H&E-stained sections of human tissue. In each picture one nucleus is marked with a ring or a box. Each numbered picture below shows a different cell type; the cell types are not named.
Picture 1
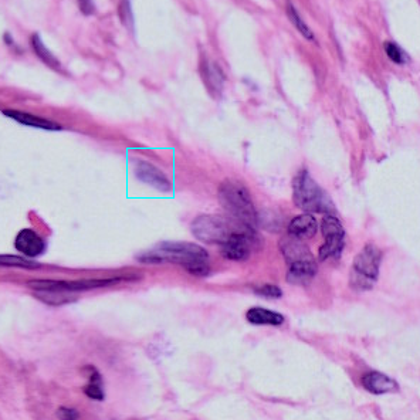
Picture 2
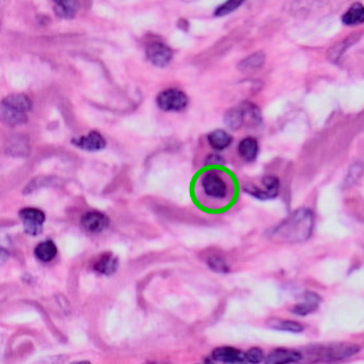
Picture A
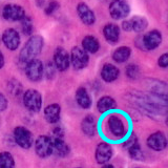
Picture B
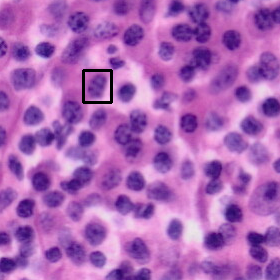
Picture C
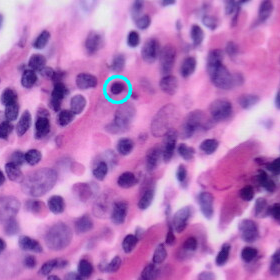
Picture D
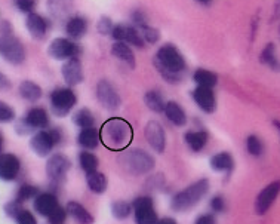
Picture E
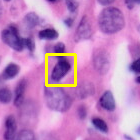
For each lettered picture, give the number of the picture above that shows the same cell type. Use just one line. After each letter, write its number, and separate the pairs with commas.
A 2, B 2, C 1, D 1, E 1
